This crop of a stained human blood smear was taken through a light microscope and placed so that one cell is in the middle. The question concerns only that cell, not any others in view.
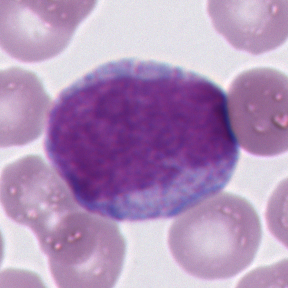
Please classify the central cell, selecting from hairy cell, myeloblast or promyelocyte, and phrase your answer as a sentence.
Among the cells in view, the one in the middle is a promyelocyte.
